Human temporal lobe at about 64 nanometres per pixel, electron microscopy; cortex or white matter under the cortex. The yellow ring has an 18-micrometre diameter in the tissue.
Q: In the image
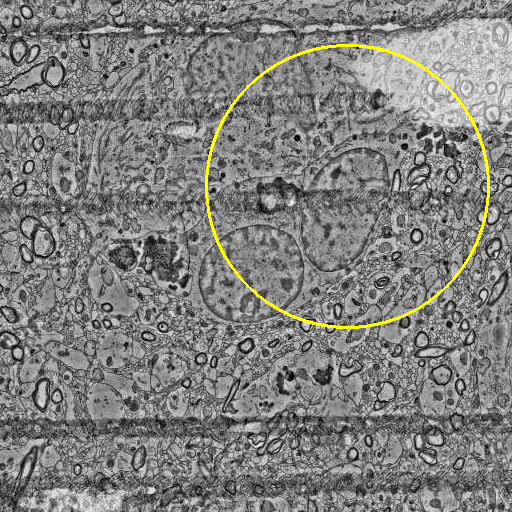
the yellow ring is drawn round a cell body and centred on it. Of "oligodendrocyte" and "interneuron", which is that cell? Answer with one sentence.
The cell centred in the ring is an oligodendrocyte.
